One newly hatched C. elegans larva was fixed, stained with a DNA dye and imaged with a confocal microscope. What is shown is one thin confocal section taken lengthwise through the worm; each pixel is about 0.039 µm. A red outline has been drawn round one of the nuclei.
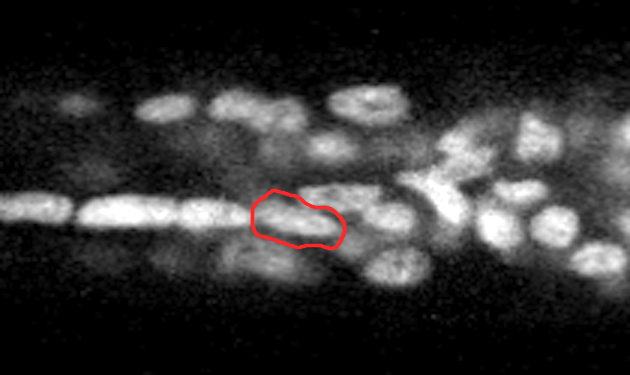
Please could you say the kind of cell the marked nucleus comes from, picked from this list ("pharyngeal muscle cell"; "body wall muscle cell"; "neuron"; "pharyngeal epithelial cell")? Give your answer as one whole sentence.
This nucleus is from a pharyngeal epithelial cell.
